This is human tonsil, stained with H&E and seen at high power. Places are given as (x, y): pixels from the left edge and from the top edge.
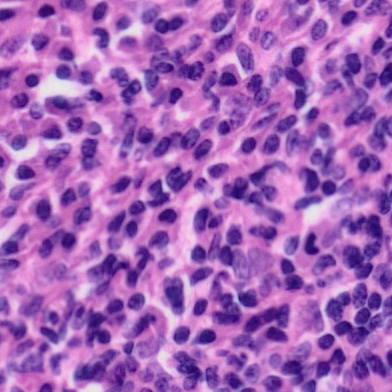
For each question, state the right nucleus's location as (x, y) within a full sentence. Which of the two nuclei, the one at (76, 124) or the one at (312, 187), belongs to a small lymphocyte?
Housed in a small lymphocyte is the nucleus at (312, 187), not the other one.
